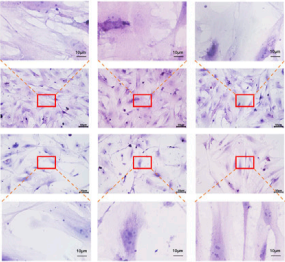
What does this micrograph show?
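In the lower-power views many scattered cells are visible, each with a small dark purple nucleus and pale lilac cytoplasm drawn out into long, thin, spindle-shaped or branching processes. The cells lie singly or loosely touching, oriented in different directions on a pale background. The upper row shows more cells per field than the lower.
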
